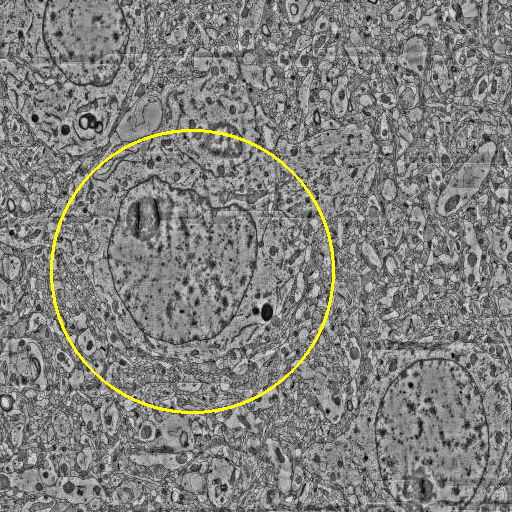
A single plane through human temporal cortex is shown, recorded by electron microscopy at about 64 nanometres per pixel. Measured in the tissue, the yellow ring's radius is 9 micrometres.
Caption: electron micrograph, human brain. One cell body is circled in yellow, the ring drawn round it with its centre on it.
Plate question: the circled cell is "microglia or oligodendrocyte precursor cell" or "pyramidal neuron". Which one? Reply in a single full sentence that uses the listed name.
The yellow ring on the plate is centred on a pyramidal neuron, going by the listed names.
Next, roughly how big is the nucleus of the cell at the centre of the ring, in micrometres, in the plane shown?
About 10 micrometres across in this plane.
